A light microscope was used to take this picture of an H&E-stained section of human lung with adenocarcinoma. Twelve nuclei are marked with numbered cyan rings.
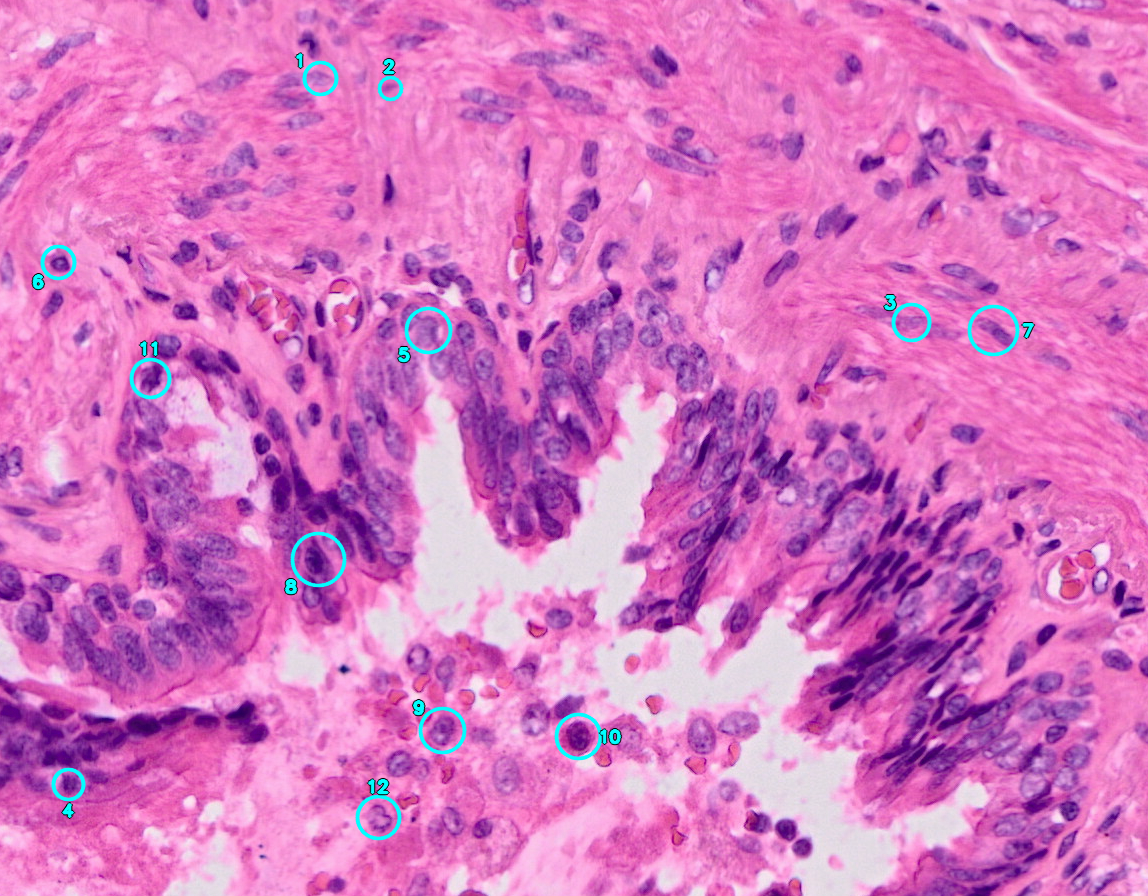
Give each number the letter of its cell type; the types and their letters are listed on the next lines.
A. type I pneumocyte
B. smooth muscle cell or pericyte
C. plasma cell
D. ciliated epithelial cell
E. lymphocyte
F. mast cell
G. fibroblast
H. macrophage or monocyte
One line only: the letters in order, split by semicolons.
B; B; B; D; D; F; B; D; H; H; D; H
